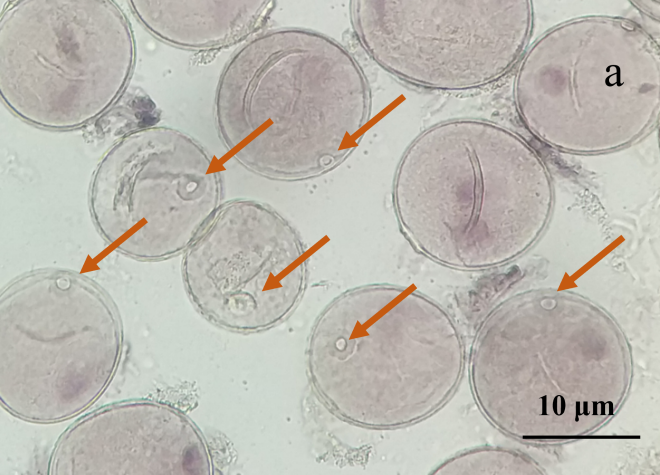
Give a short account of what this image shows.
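Several cells show a curved darker line inside, like a fold, and some have a darker purple patch. A couple of cells look paler and emptier. Fine pale debris lies between the cells, which are free and not joined into a tissue.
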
